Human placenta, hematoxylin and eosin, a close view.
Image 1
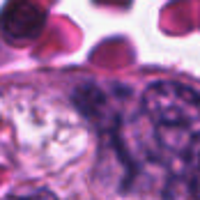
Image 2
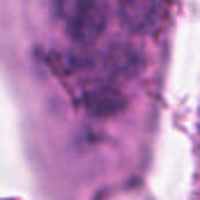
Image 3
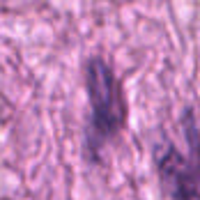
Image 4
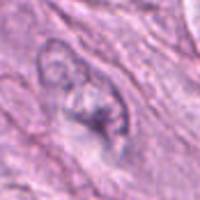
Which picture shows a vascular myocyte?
Picture 3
